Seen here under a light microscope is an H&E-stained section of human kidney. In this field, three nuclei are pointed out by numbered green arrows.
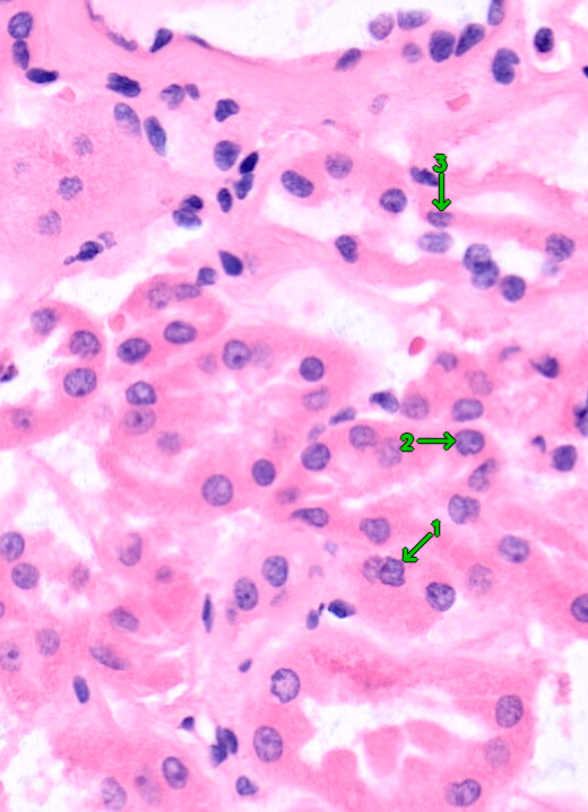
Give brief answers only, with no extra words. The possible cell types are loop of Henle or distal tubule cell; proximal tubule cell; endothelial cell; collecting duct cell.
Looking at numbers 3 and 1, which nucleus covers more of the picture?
1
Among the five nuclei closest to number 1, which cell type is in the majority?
proximal tubule cell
